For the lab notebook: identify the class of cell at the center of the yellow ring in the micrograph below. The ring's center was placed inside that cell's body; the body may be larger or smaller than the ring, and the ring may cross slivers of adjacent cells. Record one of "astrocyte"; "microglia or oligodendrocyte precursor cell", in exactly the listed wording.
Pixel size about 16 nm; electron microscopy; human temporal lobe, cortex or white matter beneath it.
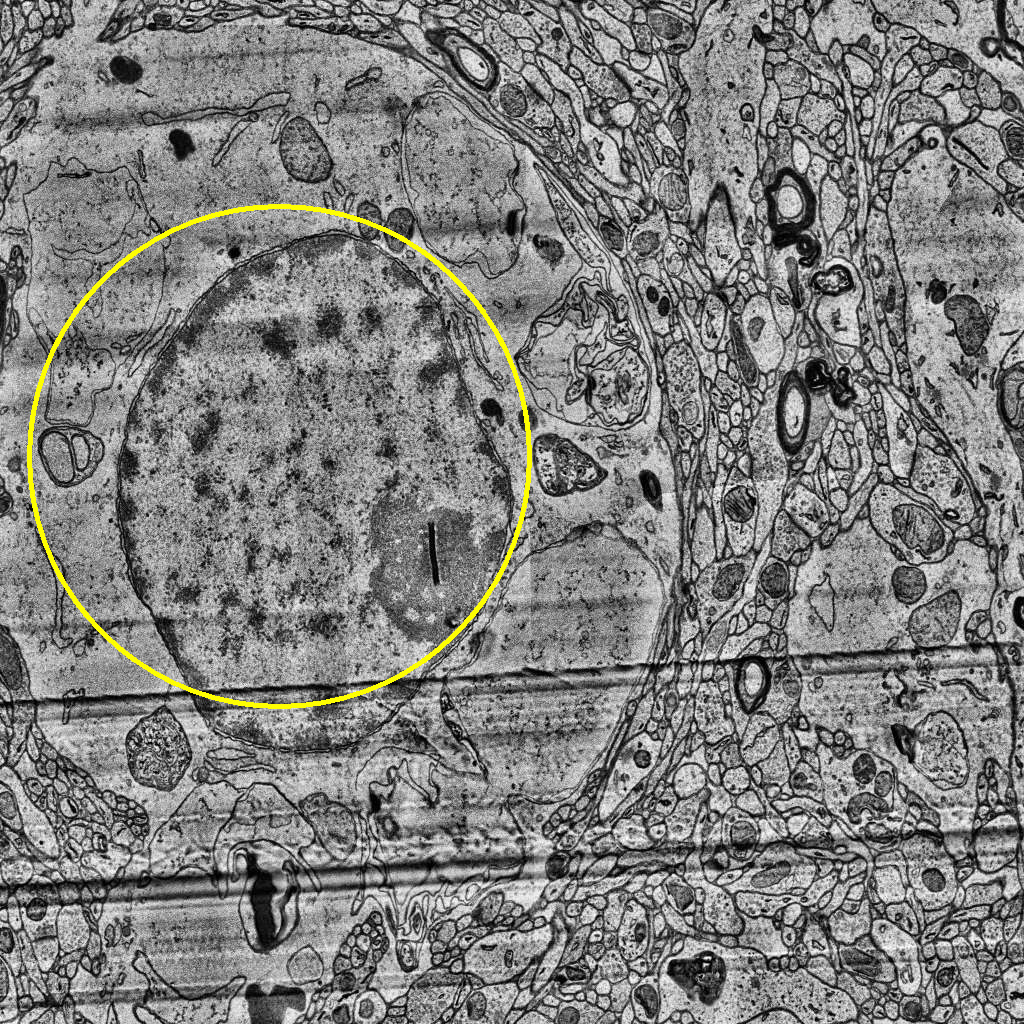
astrocyte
